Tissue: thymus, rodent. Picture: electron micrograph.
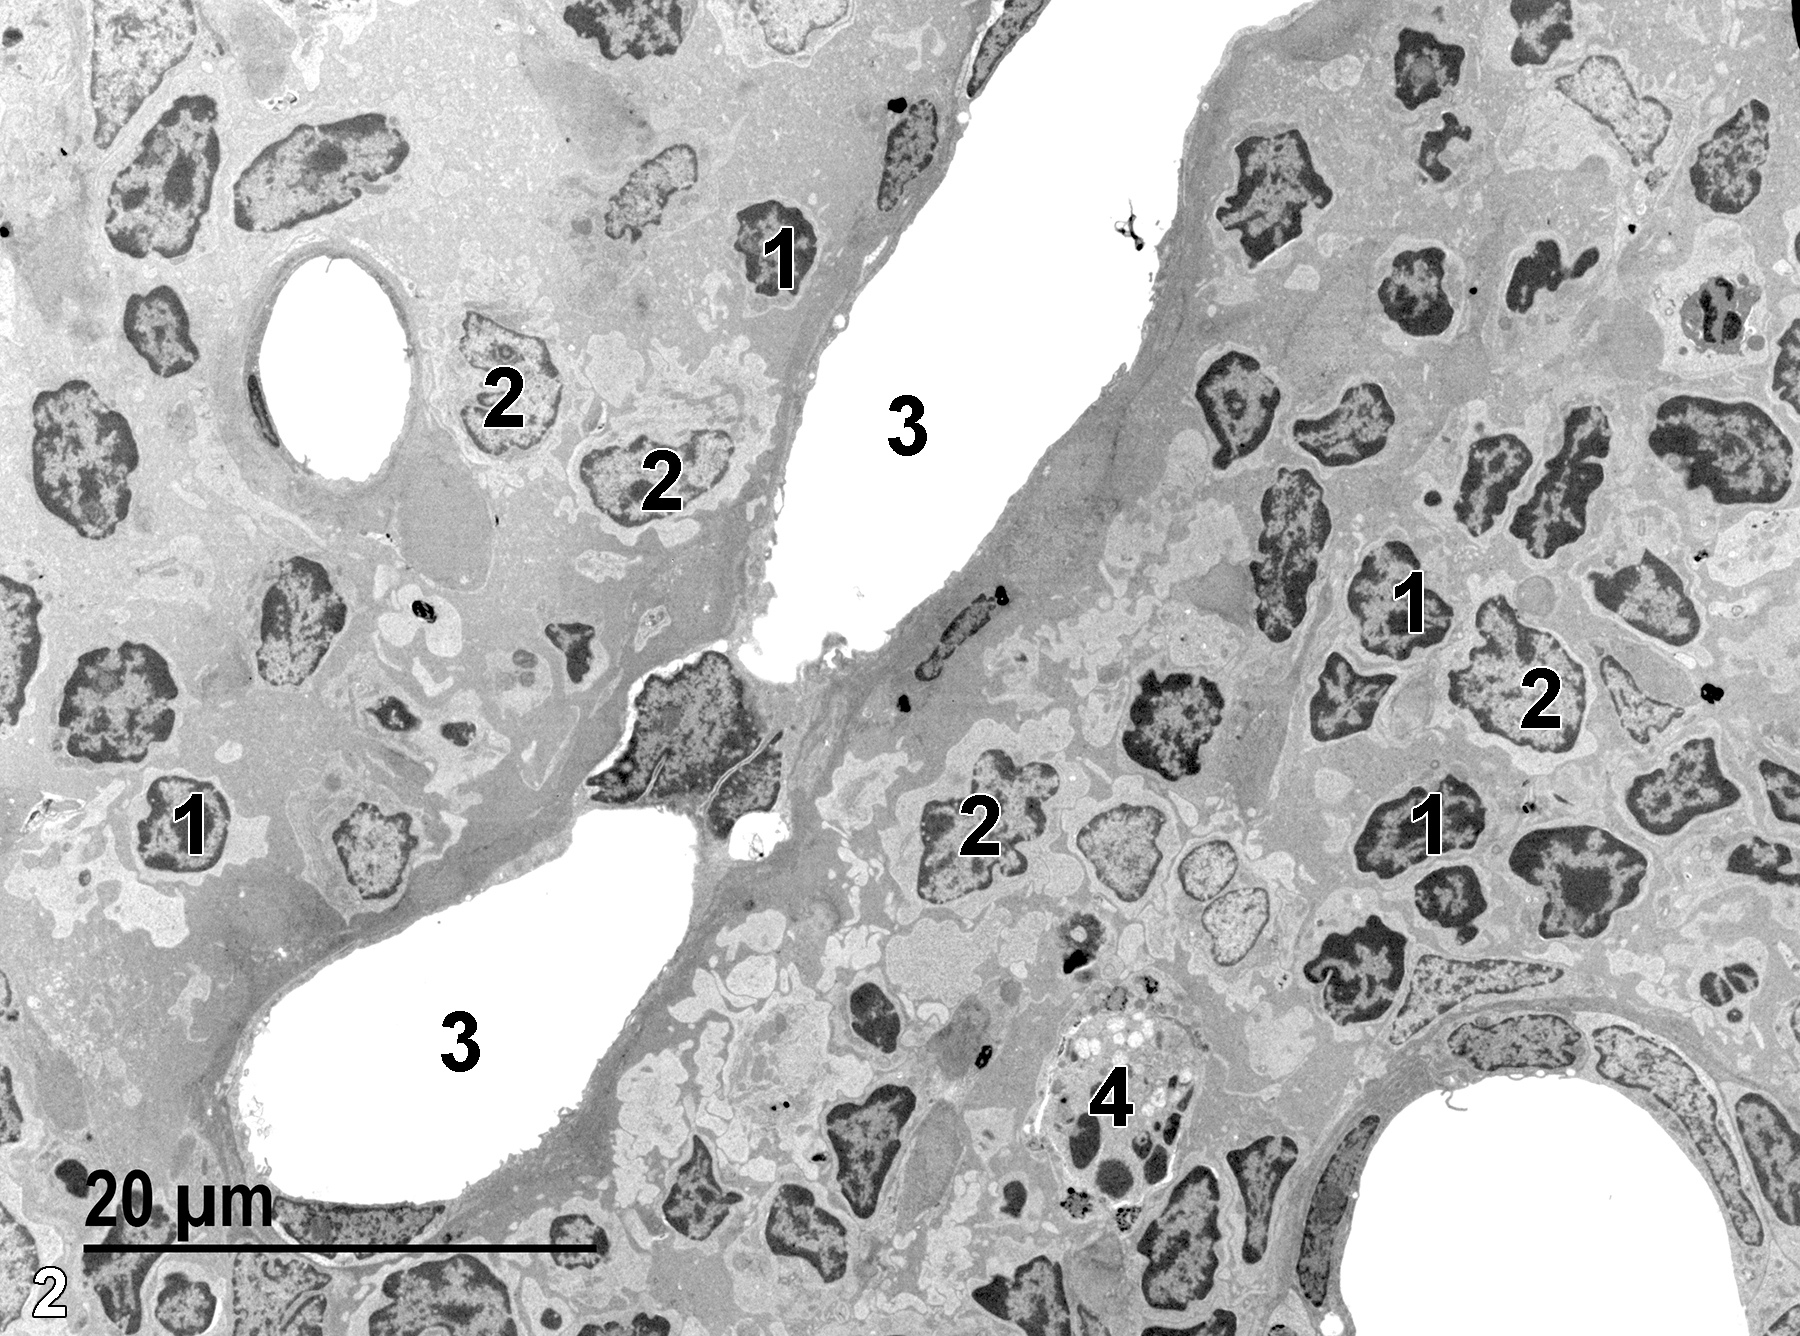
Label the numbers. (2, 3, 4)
2 nuclei of reticular epithelial cells
3 blood vessel
4 macrophage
